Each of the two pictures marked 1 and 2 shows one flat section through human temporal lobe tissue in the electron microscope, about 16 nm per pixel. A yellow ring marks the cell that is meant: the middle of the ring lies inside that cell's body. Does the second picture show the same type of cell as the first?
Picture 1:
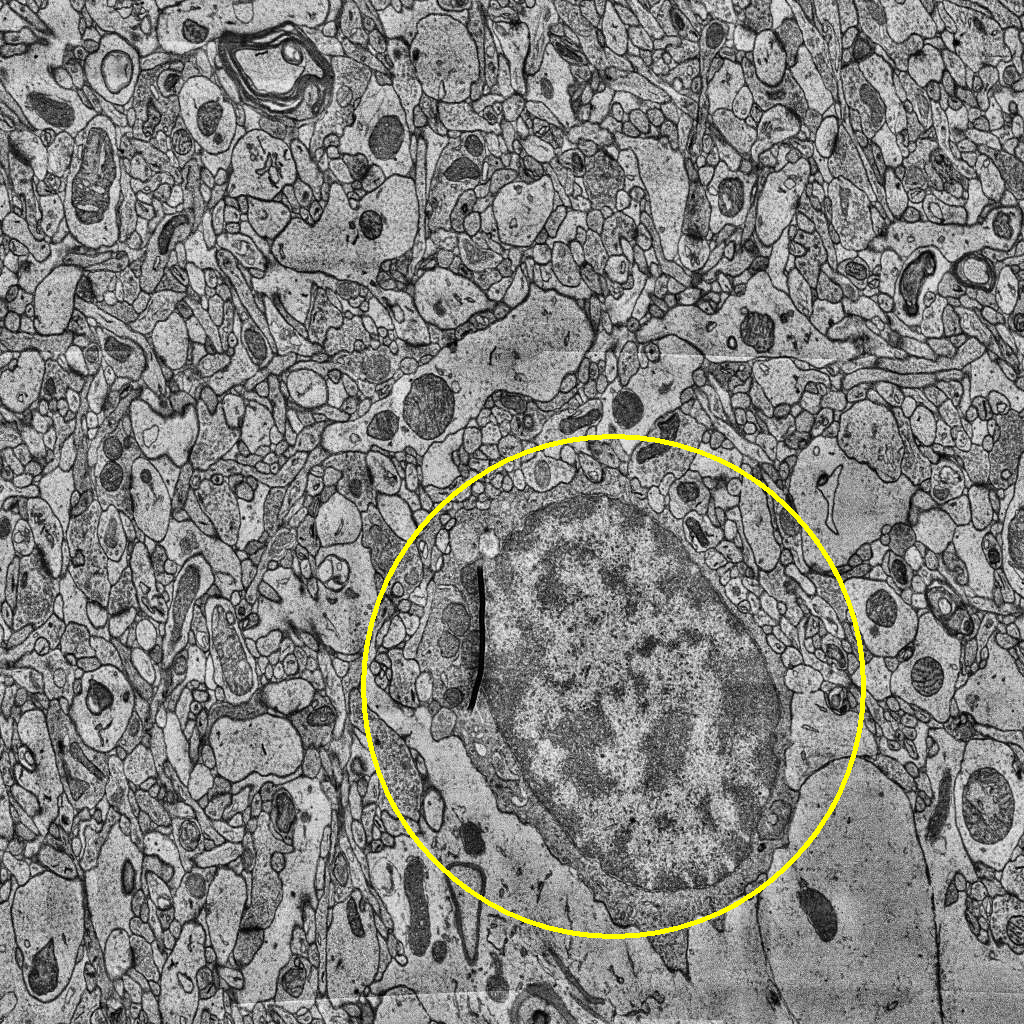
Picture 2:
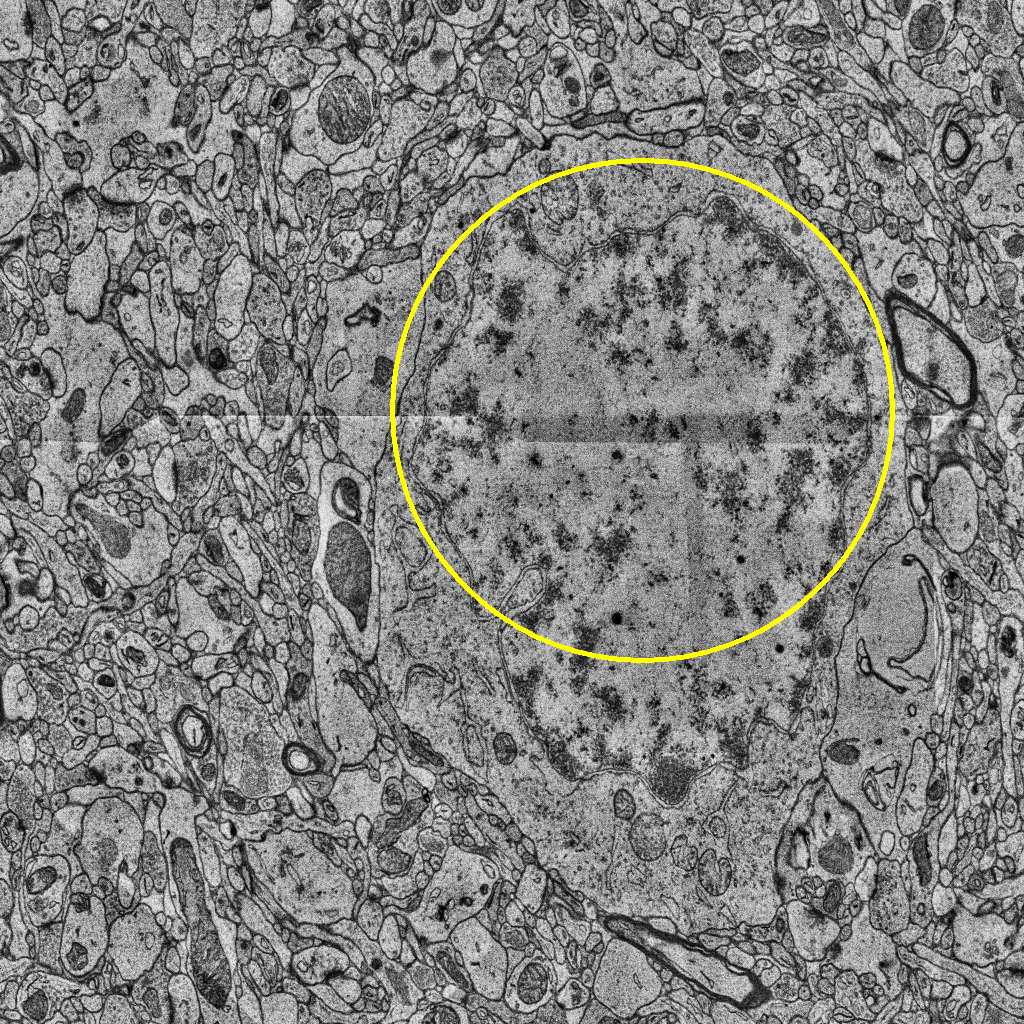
No; the cell in picture 1 is an oligodendrocyte, while the one in picture 2 is an interneuron.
